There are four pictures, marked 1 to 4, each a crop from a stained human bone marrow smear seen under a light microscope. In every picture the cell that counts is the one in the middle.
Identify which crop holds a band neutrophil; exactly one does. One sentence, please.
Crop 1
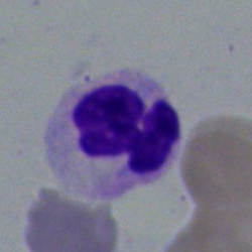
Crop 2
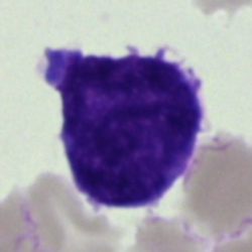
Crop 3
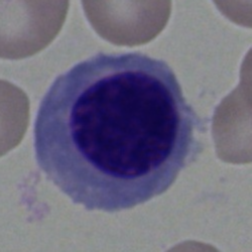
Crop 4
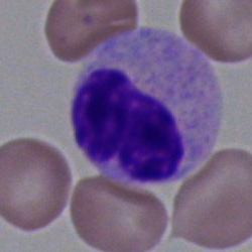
The requested cell, a band neutrophil, is the one in crop 4.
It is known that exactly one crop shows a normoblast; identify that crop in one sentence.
The one crop in the set with a normoblast is crop 3.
